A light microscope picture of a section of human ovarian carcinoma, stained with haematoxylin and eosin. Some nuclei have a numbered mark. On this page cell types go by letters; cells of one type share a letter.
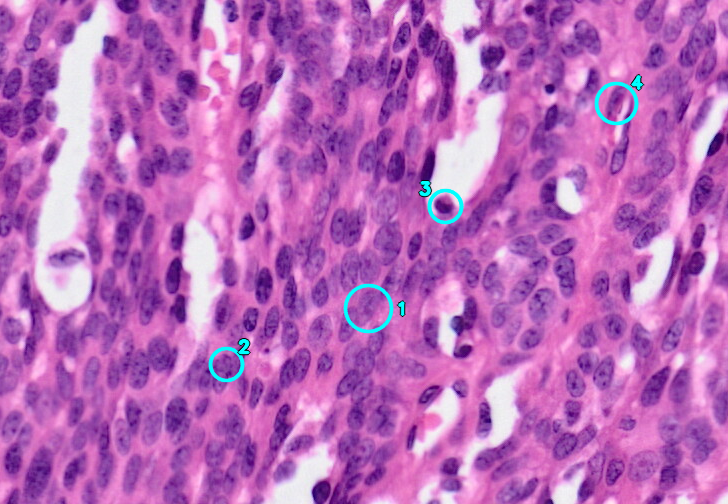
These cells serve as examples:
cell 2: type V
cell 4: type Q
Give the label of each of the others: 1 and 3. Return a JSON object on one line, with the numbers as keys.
{"1": "type V", "3": "type V"}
